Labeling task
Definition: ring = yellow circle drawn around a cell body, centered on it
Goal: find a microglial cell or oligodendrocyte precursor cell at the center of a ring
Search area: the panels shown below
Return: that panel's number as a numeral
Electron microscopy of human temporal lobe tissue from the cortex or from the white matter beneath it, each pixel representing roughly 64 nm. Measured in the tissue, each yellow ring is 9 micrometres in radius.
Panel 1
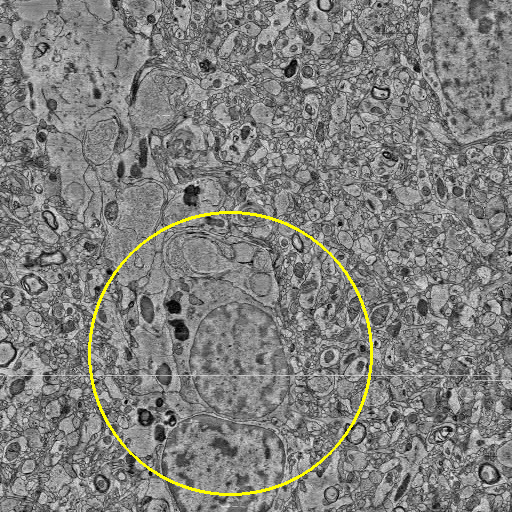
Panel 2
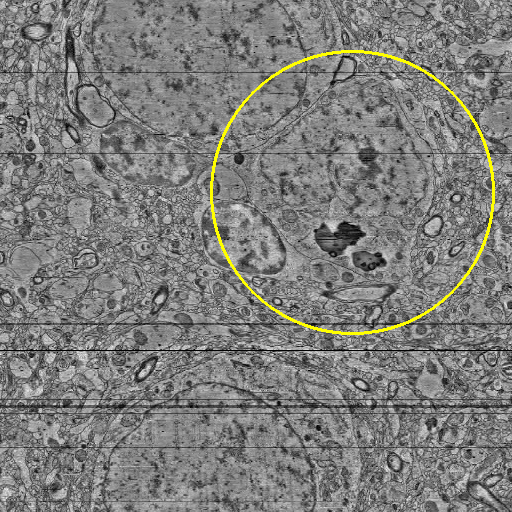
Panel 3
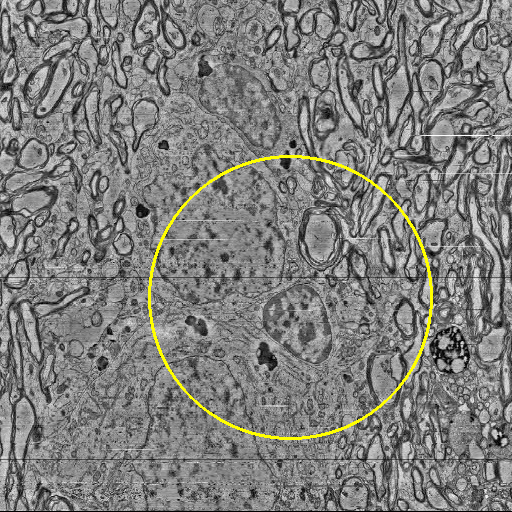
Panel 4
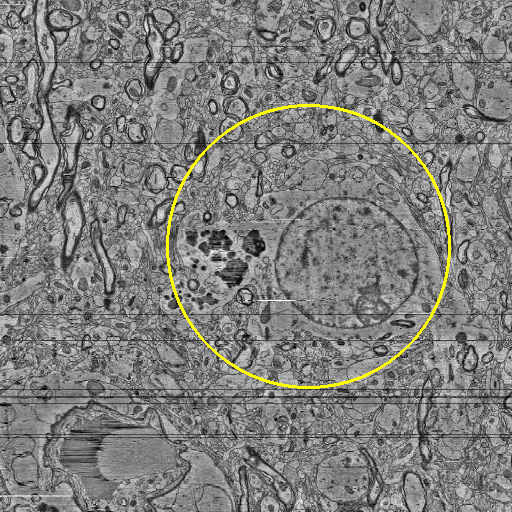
3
